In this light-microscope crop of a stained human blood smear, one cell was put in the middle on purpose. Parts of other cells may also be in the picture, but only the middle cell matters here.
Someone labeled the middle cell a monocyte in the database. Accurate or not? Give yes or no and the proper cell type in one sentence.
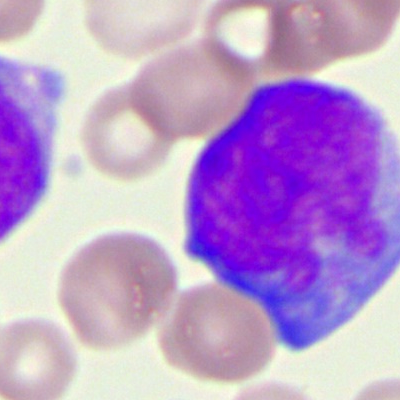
No, the cell in the middle is categorised as a blast, not a monocyte.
